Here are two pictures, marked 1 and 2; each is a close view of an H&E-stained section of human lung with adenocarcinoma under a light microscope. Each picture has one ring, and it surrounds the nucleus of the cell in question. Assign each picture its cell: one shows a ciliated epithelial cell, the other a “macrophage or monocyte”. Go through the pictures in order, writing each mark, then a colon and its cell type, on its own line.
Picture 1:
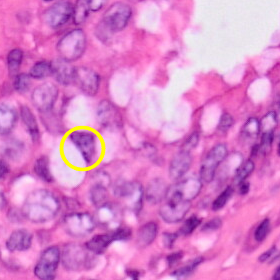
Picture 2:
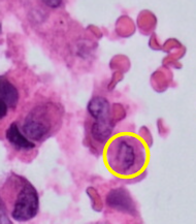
1: ciliated epithelial cell
2: macrophage or monocyte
